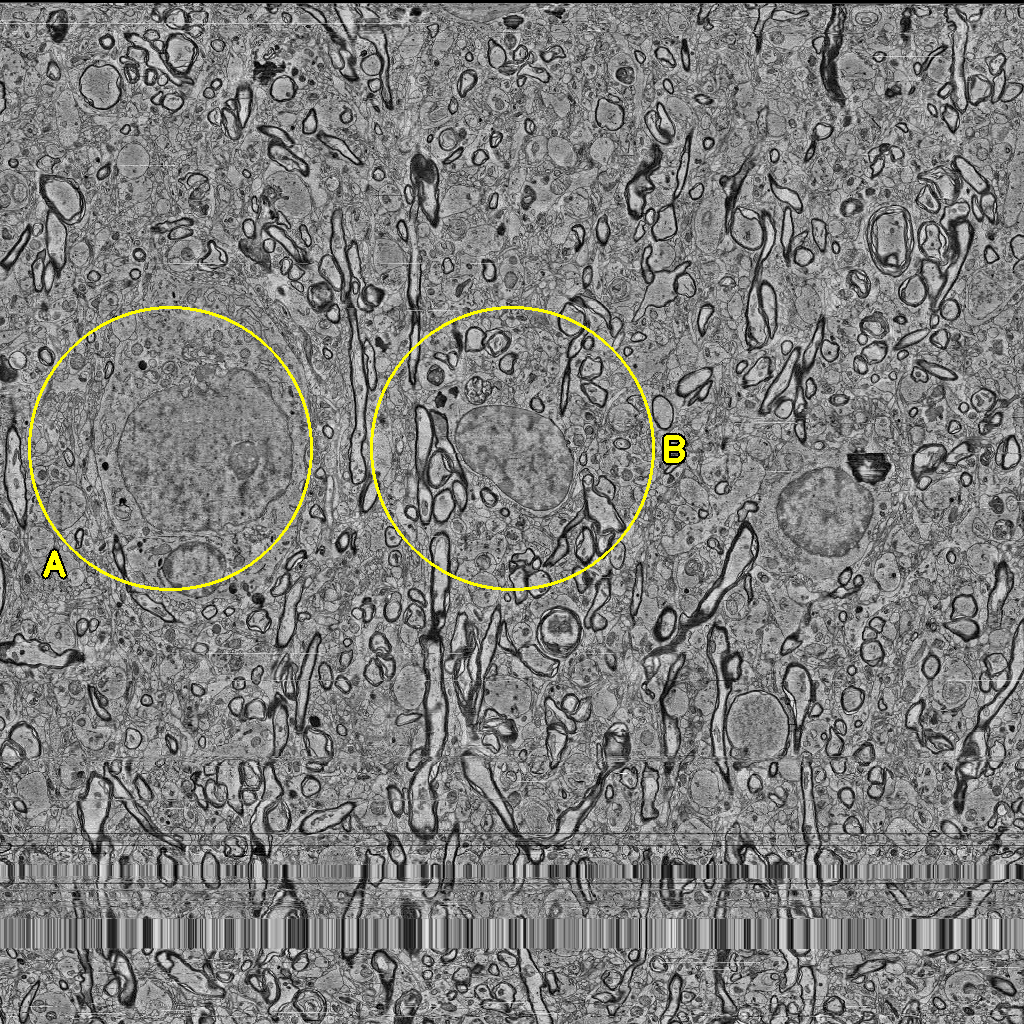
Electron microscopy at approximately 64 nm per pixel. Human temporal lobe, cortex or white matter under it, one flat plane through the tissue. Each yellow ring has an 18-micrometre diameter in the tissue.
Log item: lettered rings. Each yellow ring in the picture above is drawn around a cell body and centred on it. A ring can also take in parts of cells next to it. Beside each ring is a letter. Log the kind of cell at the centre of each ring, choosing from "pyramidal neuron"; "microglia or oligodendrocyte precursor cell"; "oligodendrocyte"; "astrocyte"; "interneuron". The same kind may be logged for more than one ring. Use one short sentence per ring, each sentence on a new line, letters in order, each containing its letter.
Within ring A, the centre is taken by an interneuron.
Within ring B, the centre is taken by a microglial cell or oligodendrocyte precursor cell.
